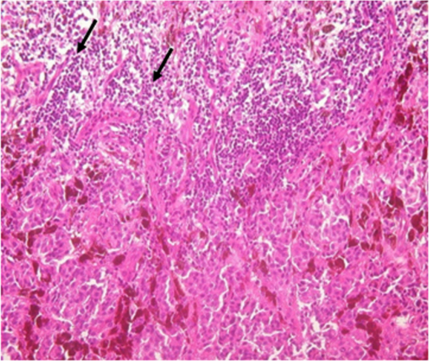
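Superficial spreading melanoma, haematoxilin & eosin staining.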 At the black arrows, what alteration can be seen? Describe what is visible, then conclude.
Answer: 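The arrows point to an area crowded with small, dark, round nuclei. Dark brown-red pigment-laden cells are scattered in the lower part. On this evidence: immune cell infiltration.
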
